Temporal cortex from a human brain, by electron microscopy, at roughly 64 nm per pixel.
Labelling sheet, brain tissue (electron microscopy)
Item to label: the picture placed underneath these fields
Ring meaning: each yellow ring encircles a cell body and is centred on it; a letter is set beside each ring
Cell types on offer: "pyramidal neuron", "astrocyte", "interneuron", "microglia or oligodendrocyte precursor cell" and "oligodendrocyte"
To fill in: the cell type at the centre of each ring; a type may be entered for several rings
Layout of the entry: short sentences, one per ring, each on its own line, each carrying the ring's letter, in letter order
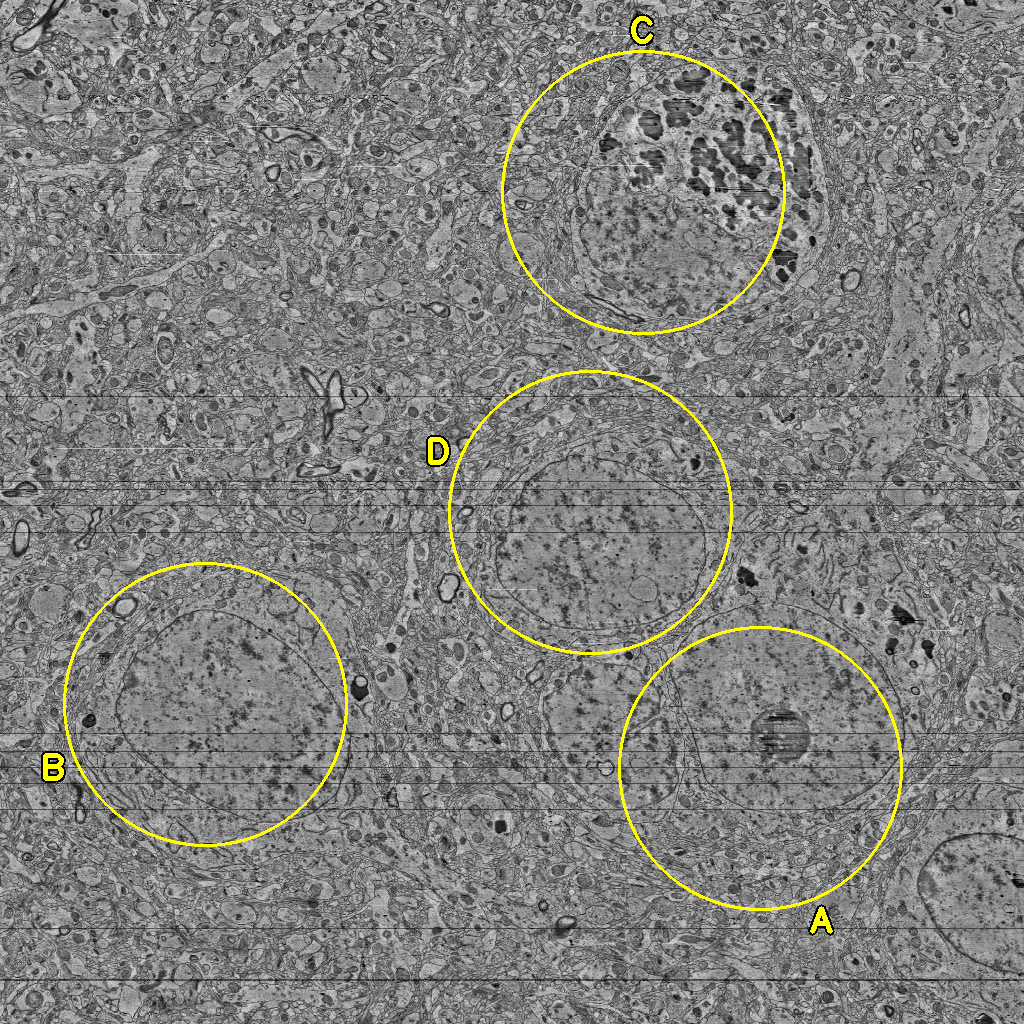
Ring A encircles the body of a pyramidal neuron.
Ring B encircles the body of a pyramidal neuron.
Ring C encircles the body of an interneuron.
Ring D encircles the body of a pyramidal neuron.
